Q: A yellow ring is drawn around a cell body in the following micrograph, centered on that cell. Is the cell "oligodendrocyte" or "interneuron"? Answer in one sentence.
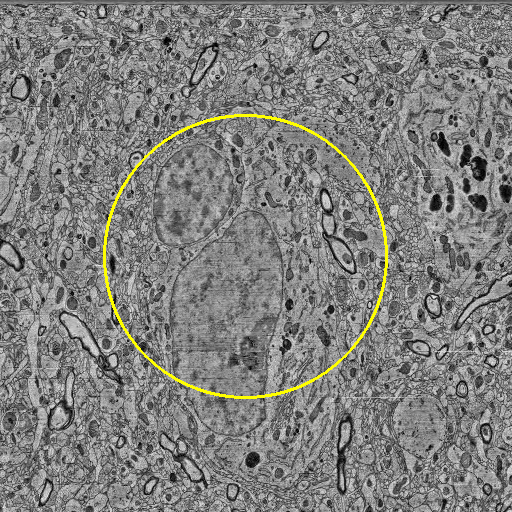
The cell in the center of the ring is an interneuron.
